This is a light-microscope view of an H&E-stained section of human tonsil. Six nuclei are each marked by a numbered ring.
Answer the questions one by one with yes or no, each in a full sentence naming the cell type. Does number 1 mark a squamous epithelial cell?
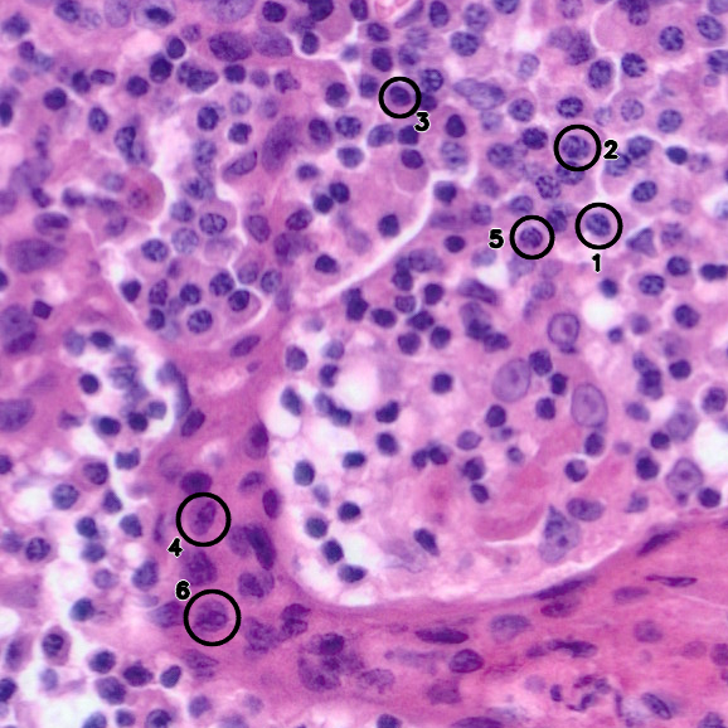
No, the cell given number 1 is a plasma cell, as opposed to a squamous epithelial cell.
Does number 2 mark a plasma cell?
Yes, the cell tagged with the number 2 is a plasma cell.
